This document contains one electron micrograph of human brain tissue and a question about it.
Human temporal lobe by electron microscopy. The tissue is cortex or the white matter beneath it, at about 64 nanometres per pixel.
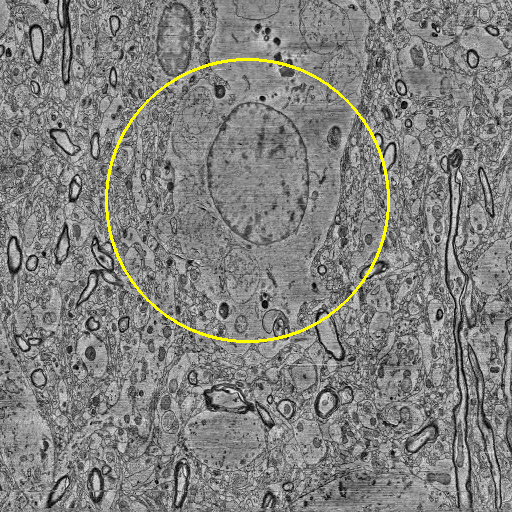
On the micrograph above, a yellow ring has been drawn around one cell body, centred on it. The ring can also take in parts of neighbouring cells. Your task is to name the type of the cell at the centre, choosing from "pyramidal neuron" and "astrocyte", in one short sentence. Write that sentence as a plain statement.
Here the ring is centred on an astrocyte.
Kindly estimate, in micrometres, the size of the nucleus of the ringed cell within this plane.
The nucleus is approximately 9 micrometers long by 6 micrometers wide in this plane.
